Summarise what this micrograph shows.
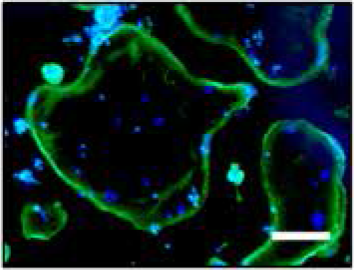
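This fluorescence image shows multinucleated giant cells in culture. Several very large cells are outlined by a continuous bright green ring at their periphery, enclosing a broad darker cytoplasm. Multiple blue nuclei lie inside these giant cells. Around them are numerous small cells, some rounded and brightly green, others showing single blue nuclei. The large rounded or irregular outlines with peripheral green rings stand out clearly against the dark background, and the giant cells are many times larger than the neighbouring small cells.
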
